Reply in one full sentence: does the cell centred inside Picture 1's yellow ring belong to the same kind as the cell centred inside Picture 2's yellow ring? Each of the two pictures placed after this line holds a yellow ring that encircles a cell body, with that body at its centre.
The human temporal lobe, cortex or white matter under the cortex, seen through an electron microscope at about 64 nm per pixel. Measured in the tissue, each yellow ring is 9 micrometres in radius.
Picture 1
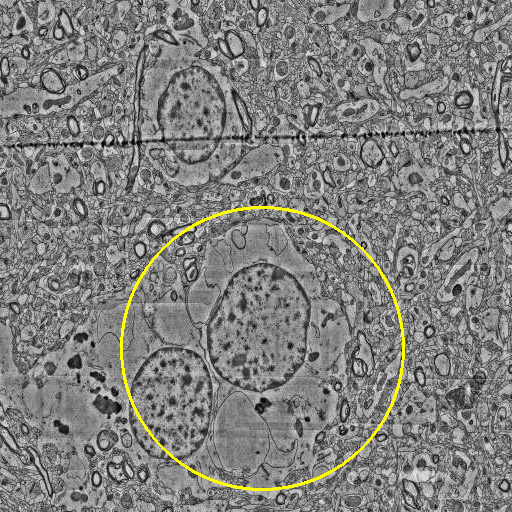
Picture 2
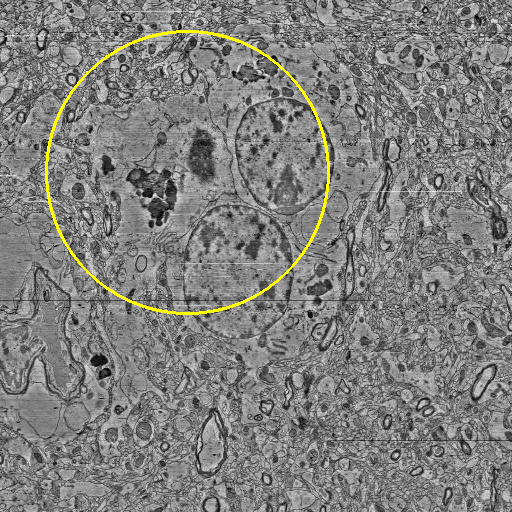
Yes, the ring-centred cells in Picture 1 and Picture 2 are of one and the same kind.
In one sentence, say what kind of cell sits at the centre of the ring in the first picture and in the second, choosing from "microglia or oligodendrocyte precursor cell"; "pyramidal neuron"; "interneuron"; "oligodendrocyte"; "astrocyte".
Both rings mark an astrocyte, one in each picture.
